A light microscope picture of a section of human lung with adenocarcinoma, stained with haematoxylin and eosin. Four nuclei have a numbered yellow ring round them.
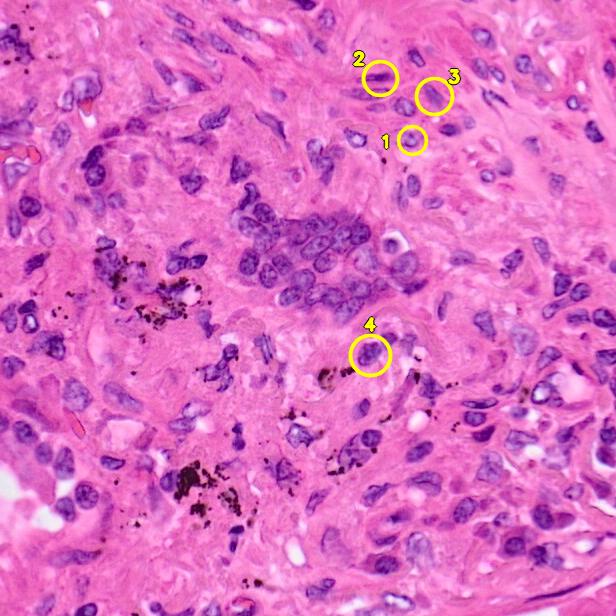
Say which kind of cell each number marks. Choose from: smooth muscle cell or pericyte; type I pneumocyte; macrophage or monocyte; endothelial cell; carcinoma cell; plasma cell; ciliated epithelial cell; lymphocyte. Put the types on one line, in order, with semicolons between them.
smooth muscle cell or pericyte; smooth muscle cell or pericyte; smooth muscle cell or pericyte; lymphocyte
